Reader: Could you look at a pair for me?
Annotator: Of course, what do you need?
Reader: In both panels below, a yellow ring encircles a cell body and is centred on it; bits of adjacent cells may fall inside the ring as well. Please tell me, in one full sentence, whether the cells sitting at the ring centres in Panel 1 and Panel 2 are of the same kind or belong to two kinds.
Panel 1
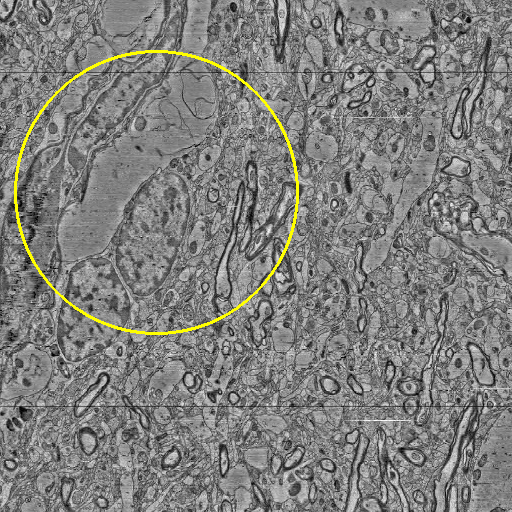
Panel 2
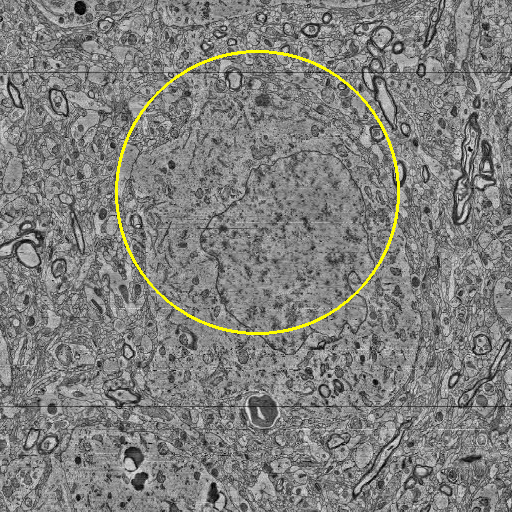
The cell at the ring's centre in Panel 1 and the one in Panel 2 belong to two kinds.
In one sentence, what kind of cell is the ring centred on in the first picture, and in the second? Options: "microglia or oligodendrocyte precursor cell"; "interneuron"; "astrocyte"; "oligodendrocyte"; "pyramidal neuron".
The cell at the centre of the second ring is a pyramidal neuron; the first ring's cell is an oligodendrocyte.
